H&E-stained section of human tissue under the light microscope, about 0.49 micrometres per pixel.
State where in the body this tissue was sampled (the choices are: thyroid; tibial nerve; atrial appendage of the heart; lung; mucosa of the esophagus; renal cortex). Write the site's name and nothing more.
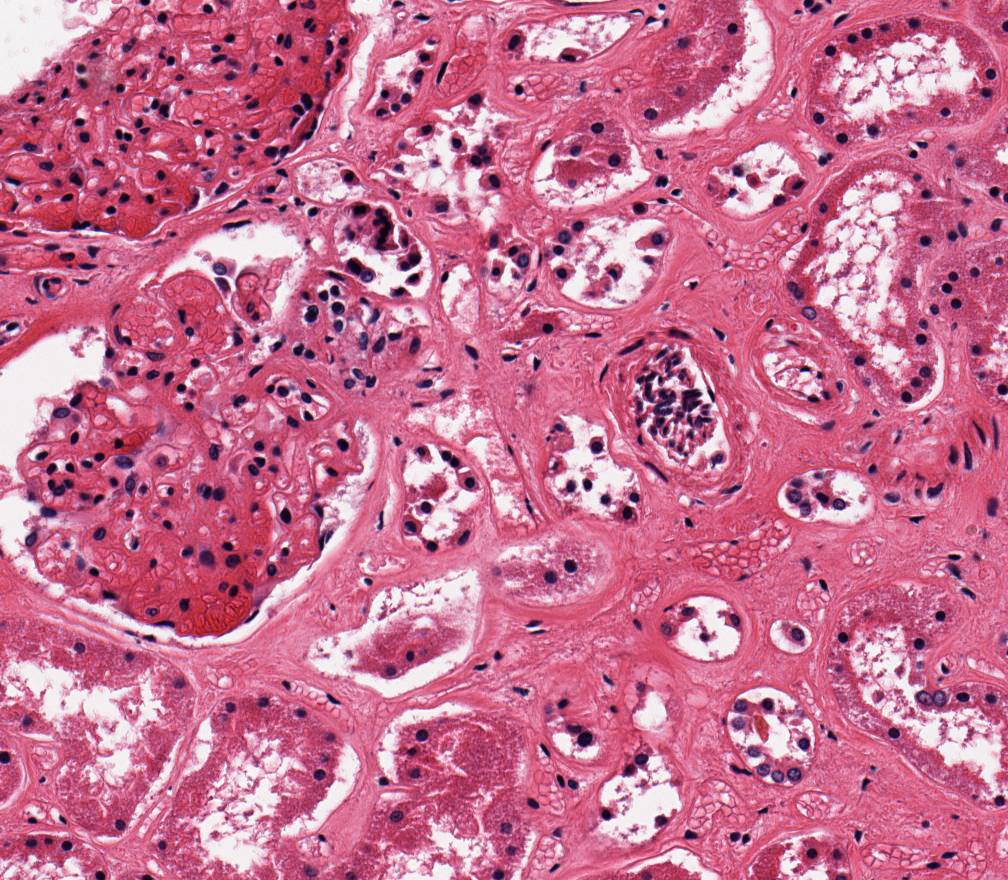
renal cortex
